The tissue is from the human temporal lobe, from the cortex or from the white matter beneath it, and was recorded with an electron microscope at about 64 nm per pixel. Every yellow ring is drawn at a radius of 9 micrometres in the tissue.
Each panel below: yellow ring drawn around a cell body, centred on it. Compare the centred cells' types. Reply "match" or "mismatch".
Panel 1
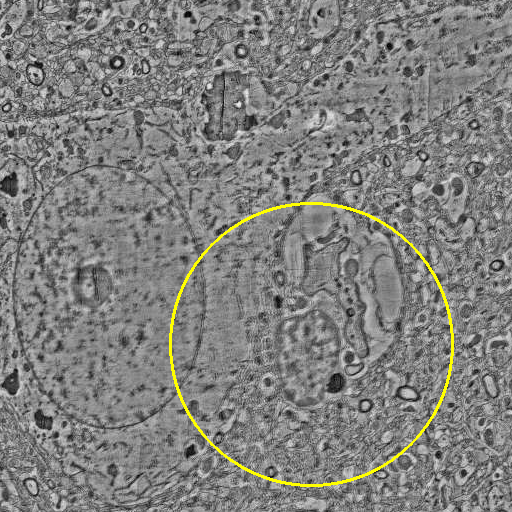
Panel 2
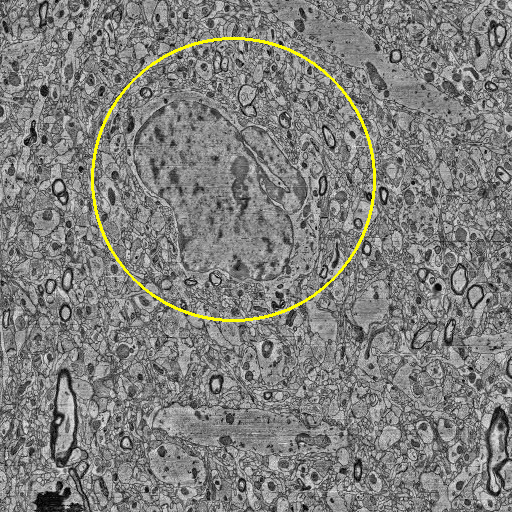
mismatch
